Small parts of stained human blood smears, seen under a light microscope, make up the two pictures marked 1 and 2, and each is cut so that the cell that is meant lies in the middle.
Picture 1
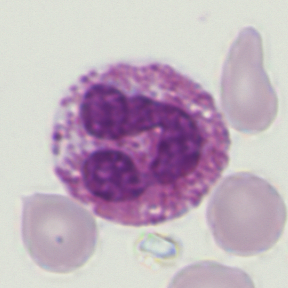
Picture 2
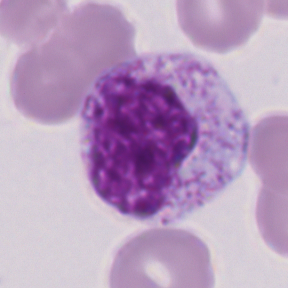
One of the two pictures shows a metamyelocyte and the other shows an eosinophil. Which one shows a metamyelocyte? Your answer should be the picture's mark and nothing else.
2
